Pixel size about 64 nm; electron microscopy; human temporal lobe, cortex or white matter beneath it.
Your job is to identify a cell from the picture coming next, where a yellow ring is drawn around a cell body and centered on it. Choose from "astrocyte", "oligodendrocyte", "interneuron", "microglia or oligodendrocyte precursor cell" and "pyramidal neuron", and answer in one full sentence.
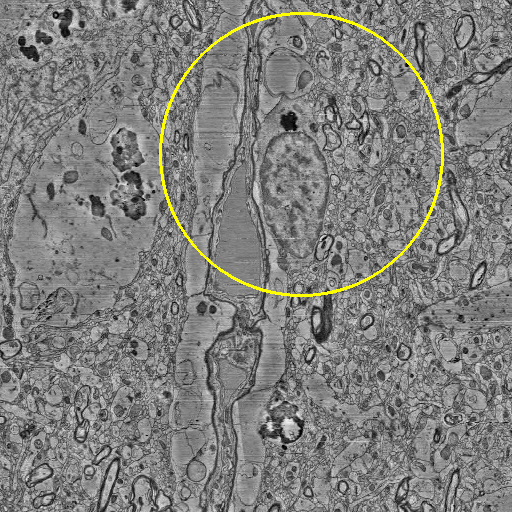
Centered in the yellow ring of the picture is the body of an oligodendrocyte.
